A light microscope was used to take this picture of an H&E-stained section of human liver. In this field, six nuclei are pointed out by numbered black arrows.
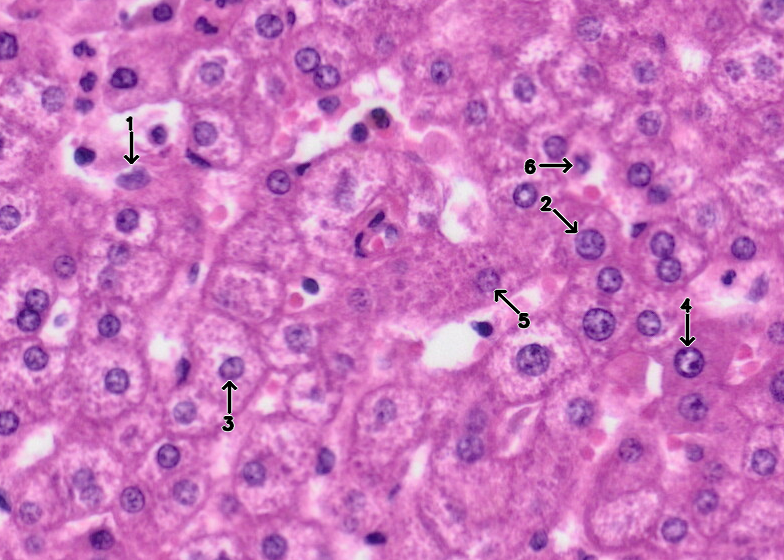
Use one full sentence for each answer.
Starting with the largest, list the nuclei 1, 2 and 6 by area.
The nuclei rank 2, 1, 6, from largest to smallest.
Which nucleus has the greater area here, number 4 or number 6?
The larger nucleus is 4, at roughly 2.5 times the area of 6.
